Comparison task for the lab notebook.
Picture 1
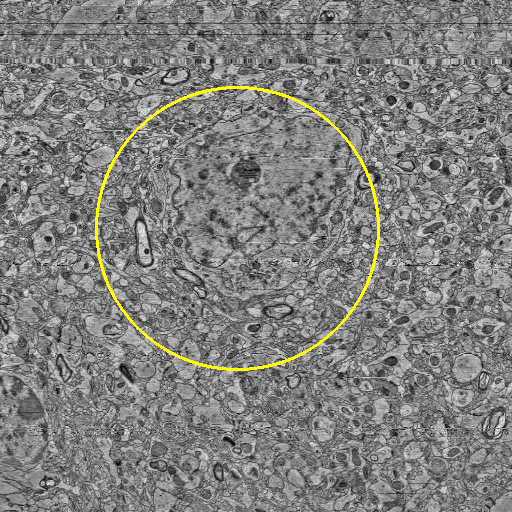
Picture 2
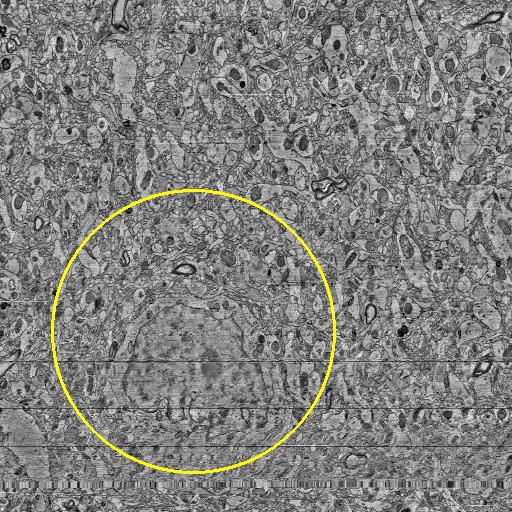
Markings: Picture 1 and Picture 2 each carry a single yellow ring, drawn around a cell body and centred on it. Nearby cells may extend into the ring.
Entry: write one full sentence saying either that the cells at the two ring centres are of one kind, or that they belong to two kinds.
The cells sitting at the ring centres in Picture 1 and Picture 2 are of one kind.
